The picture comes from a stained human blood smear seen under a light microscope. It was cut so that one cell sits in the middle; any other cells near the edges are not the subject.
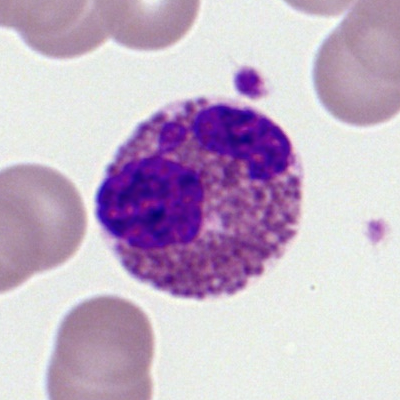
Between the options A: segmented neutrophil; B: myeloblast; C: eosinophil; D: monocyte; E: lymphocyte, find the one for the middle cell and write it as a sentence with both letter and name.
The cell in the middle is an eosinophil, so option C is correct.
